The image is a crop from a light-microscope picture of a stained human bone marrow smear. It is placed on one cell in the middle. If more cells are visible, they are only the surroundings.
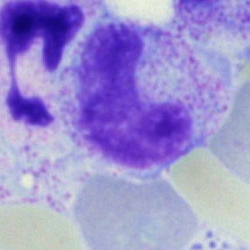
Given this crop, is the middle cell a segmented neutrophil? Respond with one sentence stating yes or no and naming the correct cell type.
No, the central cell is not a segmented neutrophil, being instead a band neutrophil.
